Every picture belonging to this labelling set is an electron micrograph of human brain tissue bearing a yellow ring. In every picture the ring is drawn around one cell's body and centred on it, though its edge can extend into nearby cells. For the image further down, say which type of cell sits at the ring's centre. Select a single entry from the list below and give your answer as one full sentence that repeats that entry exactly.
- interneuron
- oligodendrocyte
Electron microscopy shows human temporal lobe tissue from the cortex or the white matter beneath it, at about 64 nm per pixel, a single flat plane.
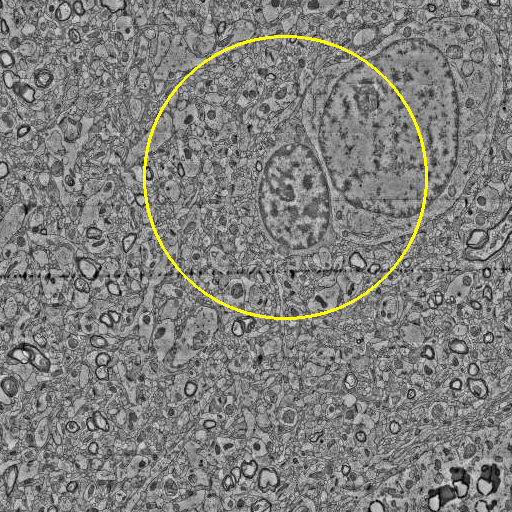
In the picture, an oligodendrocyte is the cell at the centre of the yellow ring.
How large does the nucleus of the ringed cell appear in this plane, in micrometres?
The ringed cell's nucleus is about 7 micrometres long and 5 micrometres wide in this plane.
